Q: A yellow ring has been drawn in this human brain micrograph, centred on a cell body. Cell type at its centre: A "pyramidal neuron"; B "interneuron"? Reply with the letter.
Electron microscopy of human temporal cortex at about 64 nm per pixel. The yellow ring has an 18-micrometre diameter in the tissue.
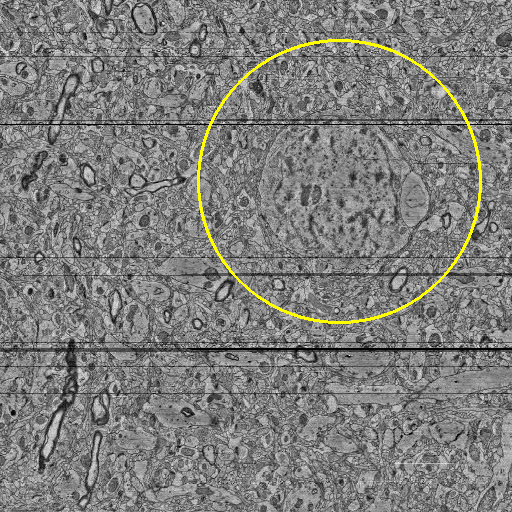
B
